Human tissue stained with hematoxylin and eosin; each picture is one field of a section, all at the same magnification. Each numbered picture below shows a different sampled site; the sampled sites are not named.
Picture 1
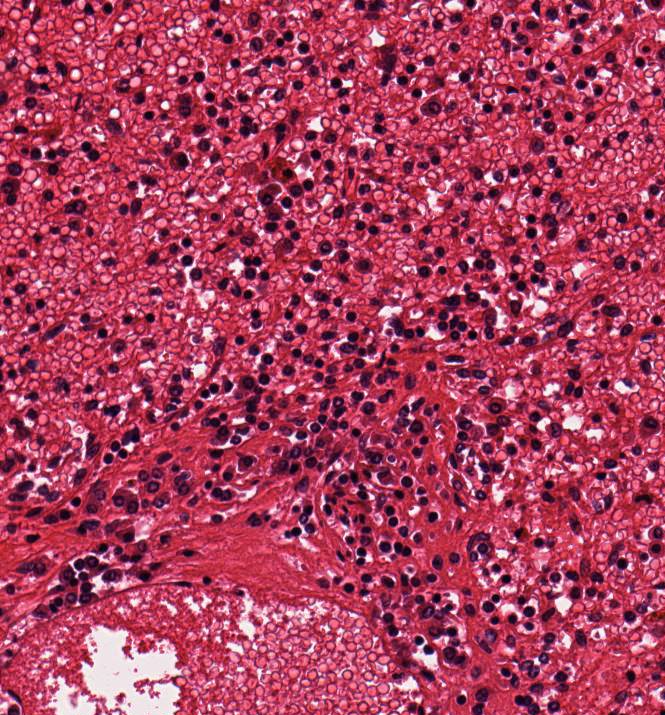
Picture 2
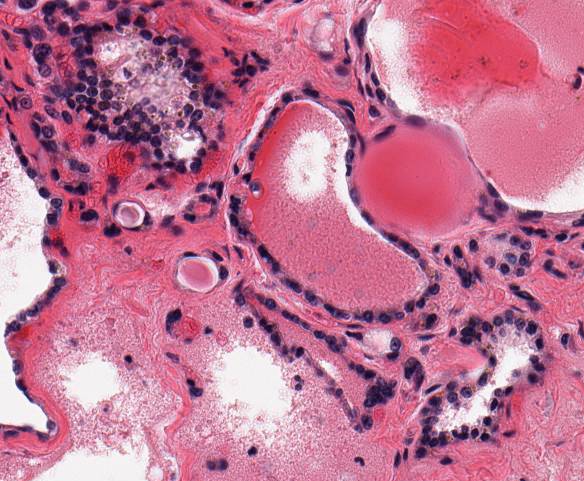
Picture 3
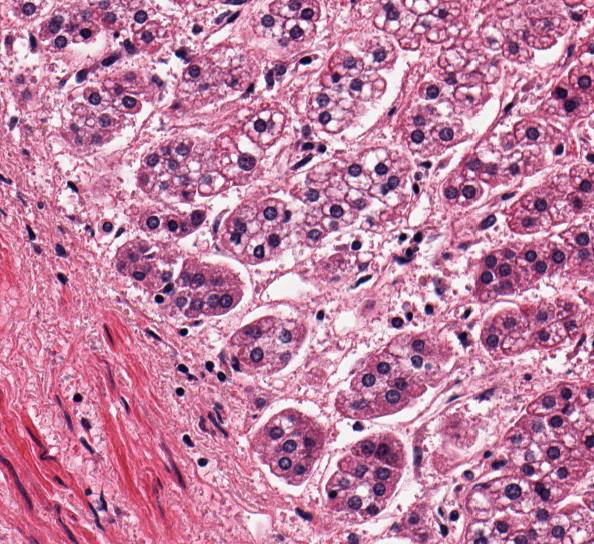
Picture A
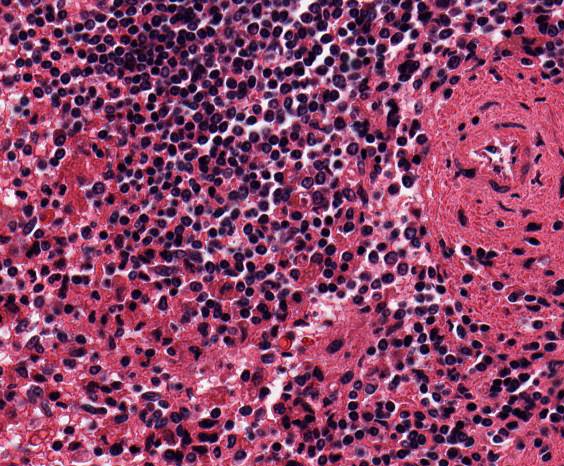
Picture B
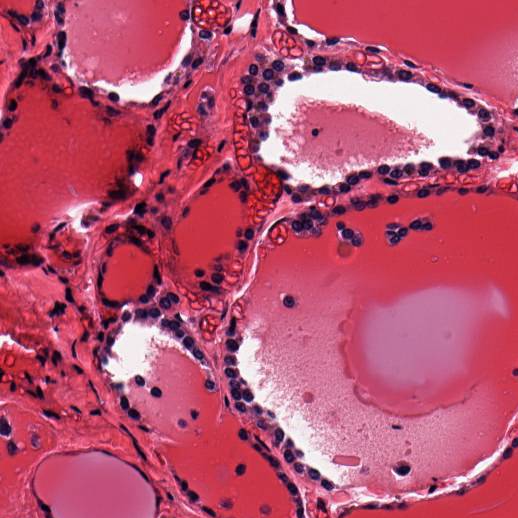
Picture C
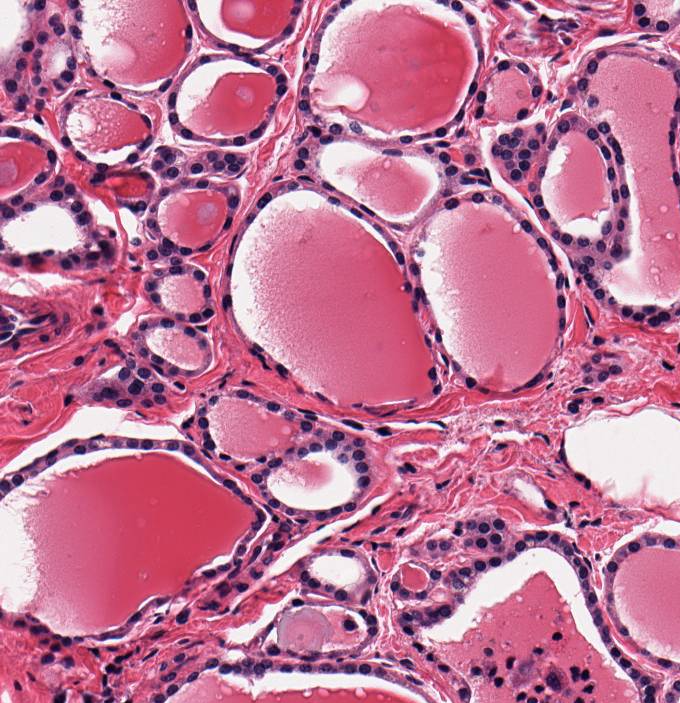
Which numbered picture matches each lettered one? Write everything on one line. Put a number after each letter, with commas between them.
A 1, B 2, C 2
